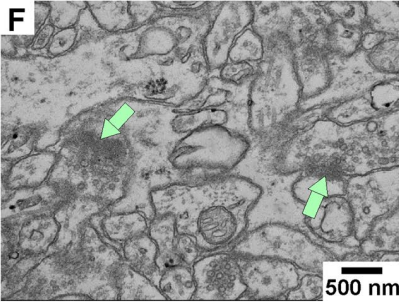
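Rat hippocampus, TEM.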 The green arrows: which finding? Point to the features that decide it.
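Blurred synaptic clefts. Smudged dark densities at contacts between processes. The membranes at these contacts are not clearly resolved.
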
